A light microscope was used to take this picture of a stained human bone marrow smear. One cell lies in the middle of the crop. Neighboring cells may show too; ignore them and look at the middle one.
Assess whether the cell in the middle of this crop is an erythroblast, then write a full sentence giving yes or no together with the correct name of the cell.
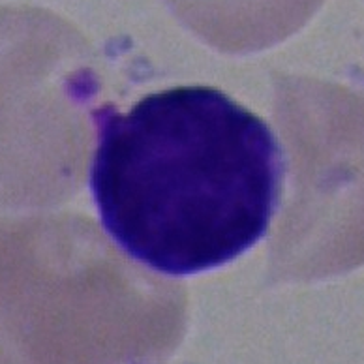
No, the central cell qualifies as a lymphocyte rather than as an erythroblast.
